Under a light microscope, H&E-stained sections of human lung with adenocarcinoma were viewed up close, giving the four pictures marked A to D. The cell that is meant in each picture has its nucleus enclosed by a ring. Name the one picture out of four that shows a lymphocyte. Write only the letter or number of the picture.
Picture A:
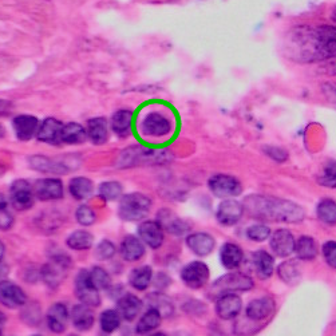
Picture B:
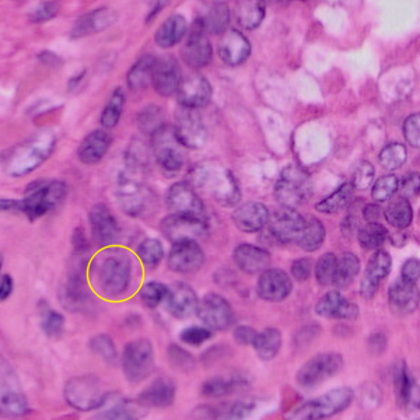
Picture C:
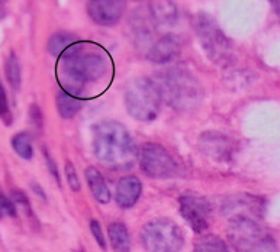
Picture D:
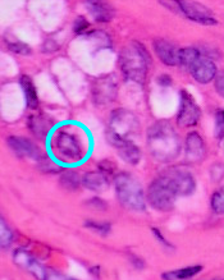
A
